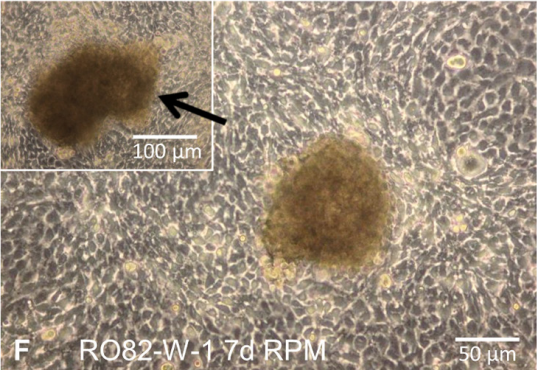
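A continuous sheet of flat, closely packed, polygonal to spindle-shaped cells covers the field, their outlines lit by bright phase halos. Resting on this sheet is a large, dense, dark brown, roughly rounded mass made of many cells, far thicker than the layer beneath, with a paler, irregular rim where cells loosen at its edge. The inset shows a similar dark lobed mass at lower magnification.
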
